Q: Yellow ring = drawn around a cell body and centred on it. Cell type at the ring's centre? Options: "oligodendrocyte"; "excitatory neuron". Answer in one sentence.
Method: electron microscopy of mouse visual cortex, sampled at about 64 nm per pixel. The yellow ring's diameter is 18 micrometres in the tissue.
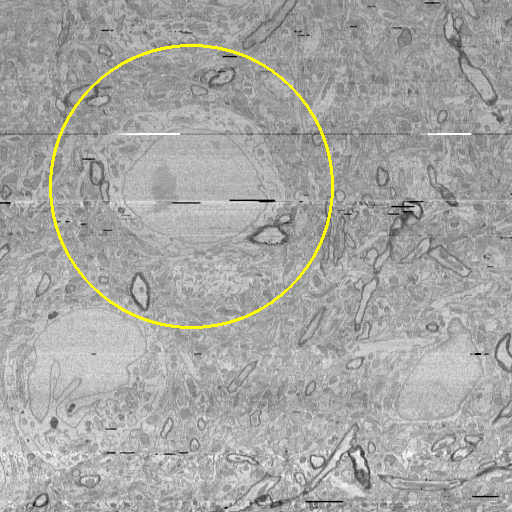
Centred in the ring is an excitatory neuron.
